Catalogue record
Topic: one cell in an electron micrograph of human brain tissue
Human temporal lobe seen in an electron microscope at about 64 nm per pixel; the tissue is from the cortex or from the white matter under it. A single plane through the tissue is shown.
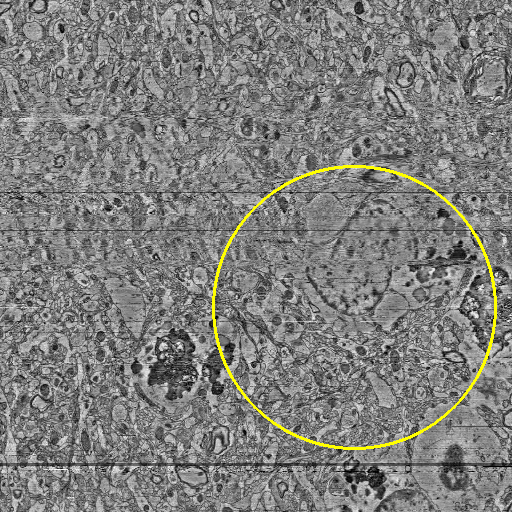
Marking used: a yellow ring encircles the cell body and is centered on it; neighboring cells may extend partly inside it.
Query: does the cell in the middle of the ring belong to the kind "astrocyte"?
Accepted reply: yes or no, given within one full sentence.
Yes, the cell centered in the ring in the picture is of that kind.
